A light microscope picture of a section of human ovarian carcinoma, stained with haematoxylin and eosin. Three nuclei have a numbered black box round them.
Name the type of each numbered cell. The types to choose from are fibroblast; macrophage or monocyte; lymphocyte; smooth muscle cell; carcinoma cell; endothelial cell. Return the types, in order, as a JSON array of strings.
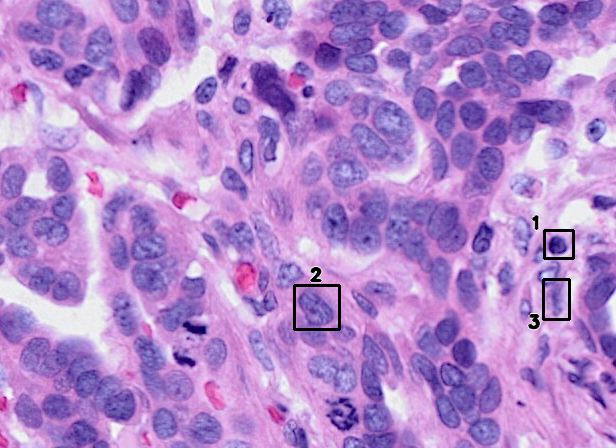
["lymphocyte", "carcinoma cell", "fibroblast"]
